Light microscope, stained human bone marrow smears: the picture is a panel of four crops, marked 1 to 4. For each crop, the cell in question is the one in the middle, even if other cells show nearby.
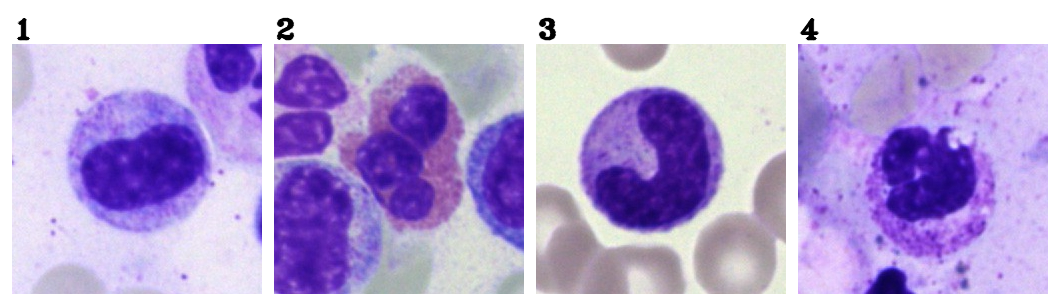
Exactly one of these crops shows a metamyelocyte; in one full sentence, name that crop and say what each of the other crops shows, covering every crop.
As for the set, crop 1 shows a metamyelocyte, while crop 2 is an eosinophil, crop 3 is a band neutrophil and crop 4 is a segmented neutrophil.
